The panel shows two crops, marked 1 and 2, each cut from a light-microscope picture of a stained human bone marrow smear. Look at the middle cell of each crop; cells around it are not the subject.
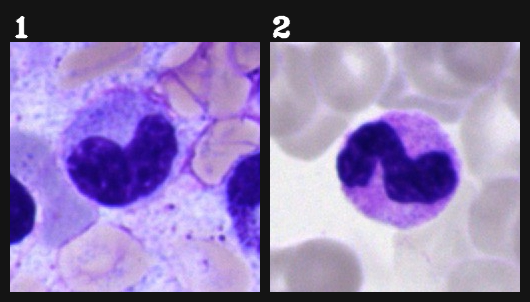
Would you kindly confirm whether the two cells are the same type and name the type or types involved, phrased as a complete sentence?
Yes, band neutrophils occupy the centre of both crops.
